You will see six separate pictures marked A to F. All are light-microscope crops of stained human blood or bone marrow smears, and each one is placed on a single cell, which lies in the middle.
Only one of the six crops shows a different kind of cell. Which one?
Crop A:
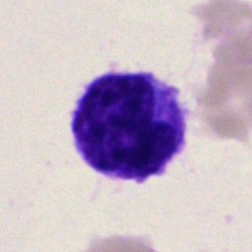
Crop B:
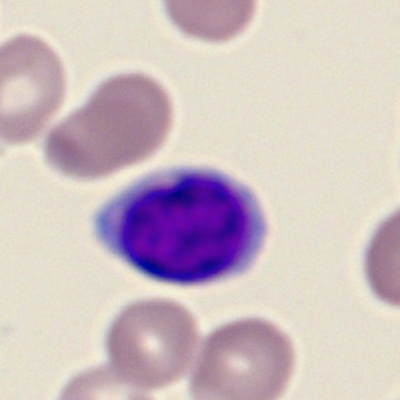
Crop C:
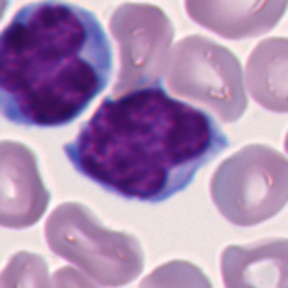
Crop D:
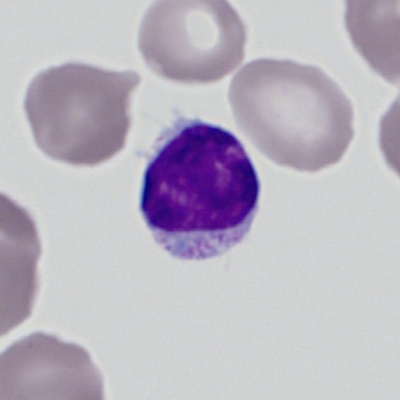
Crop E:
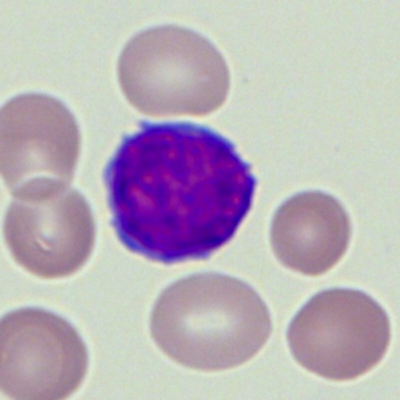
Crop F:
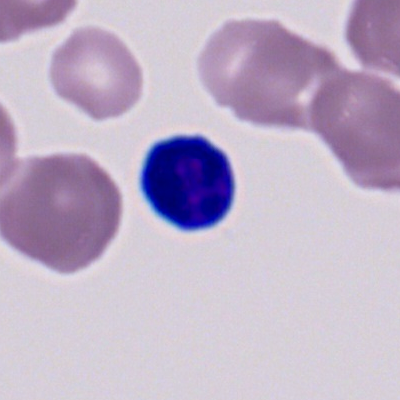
C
